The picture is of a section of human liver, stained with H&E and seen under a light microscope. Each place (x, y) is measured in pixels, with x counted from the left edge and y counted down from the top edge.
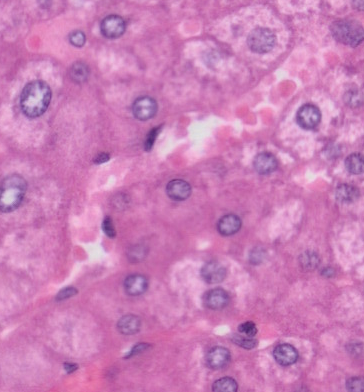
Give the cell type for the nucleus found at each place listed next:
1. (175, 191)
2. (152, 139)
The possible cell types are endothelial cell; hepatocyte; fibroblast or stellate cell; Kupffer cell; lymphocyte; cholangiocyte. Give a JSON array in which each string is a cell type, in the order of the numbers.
["hepatocyte", "fibroblast or stellate cell"]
